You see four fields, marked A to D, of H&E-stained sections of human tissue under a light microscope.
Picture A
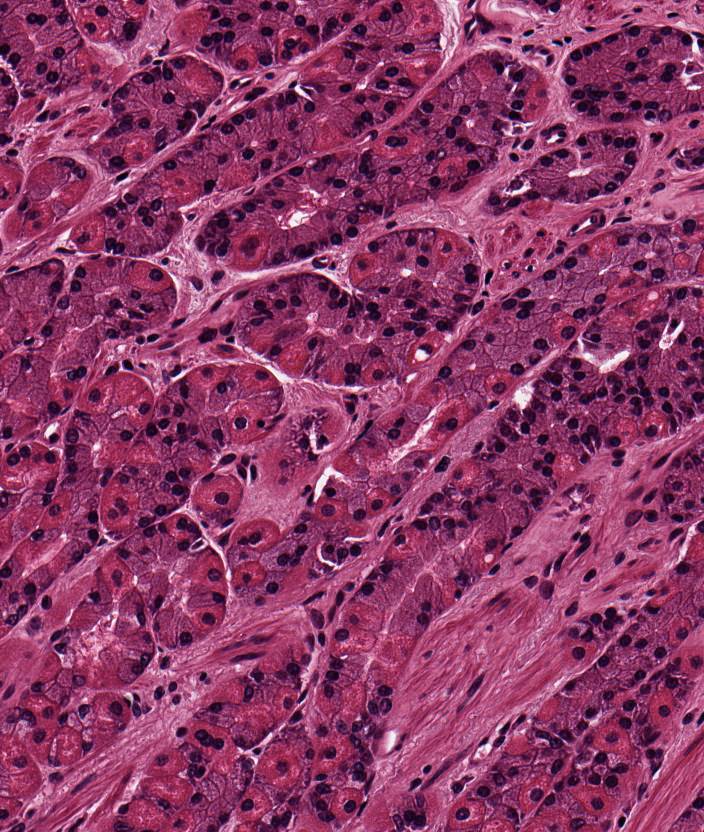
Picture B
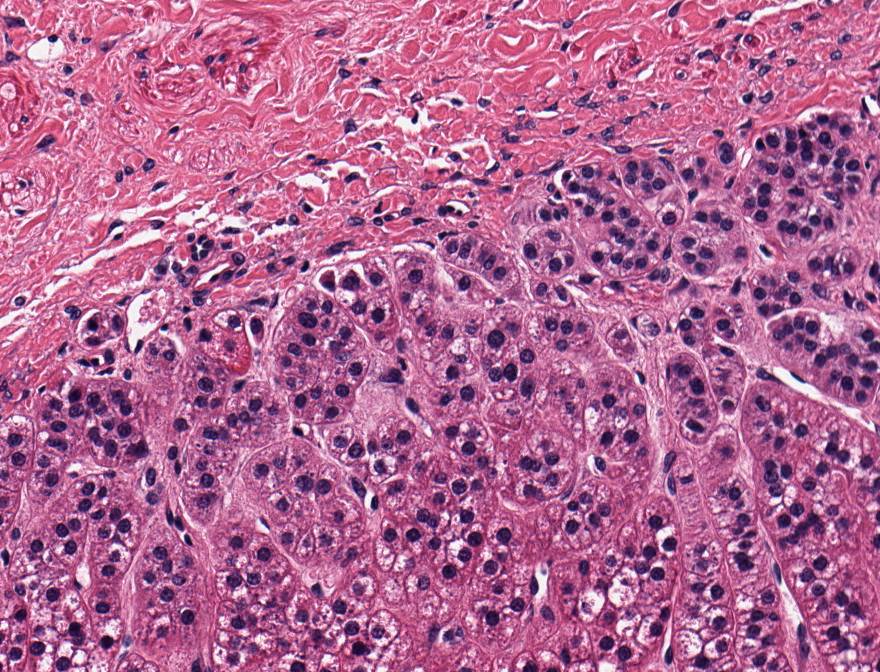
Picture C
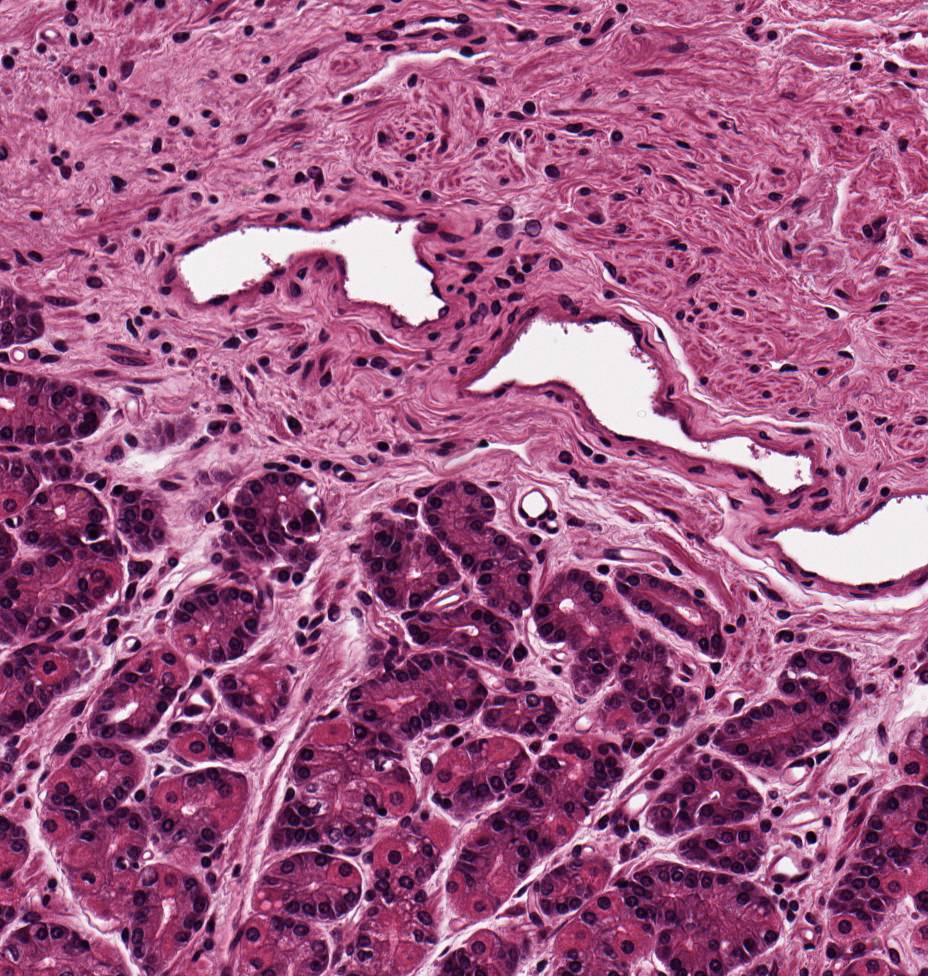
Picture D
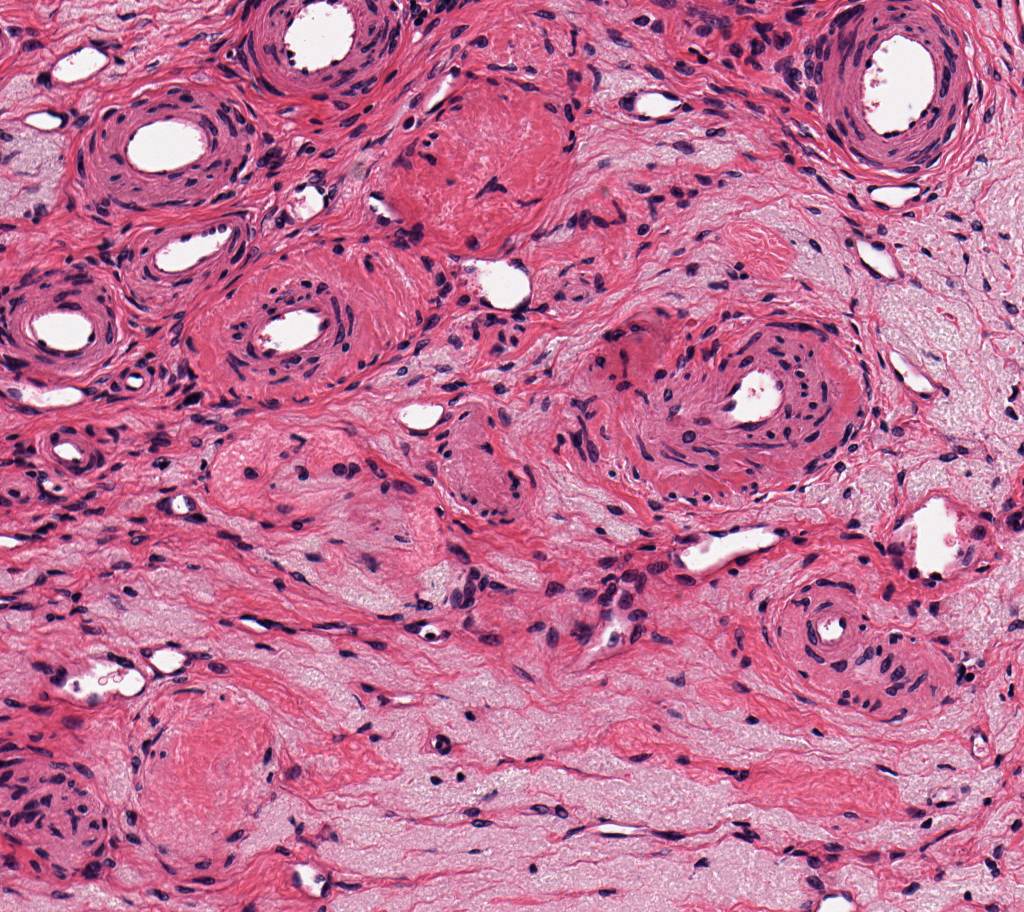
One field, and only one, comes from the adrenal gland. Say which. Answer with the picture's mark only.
B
